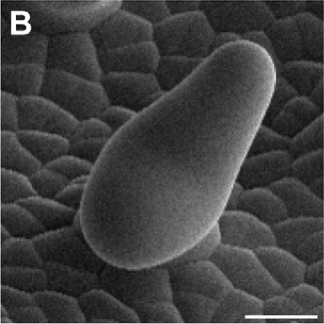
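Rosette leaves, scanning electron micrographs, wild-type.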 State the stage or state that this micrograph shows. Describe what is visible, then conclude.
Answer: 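A single smooth unbranched club-shaped outgrowth projects from the surface. It is surrounded by flat polygonal epidermal cells.
Answer: Emerging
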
